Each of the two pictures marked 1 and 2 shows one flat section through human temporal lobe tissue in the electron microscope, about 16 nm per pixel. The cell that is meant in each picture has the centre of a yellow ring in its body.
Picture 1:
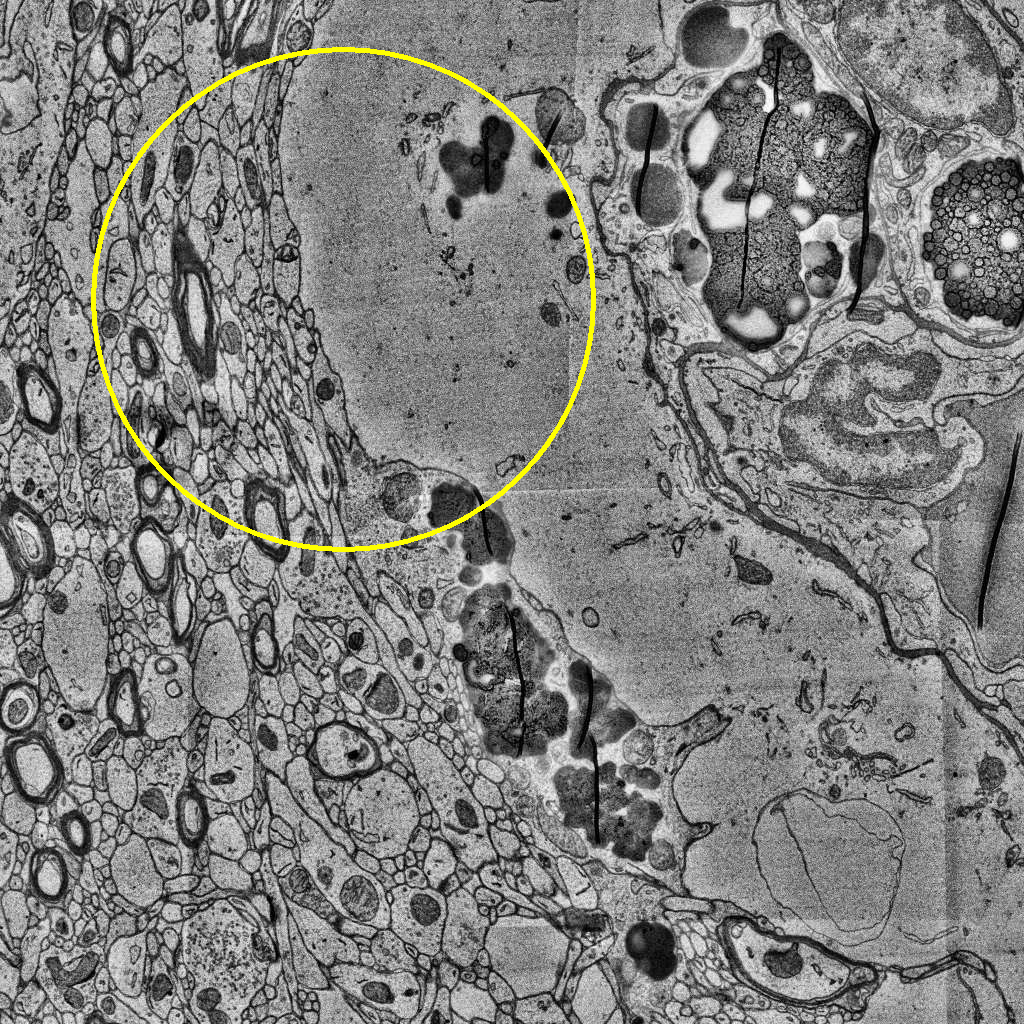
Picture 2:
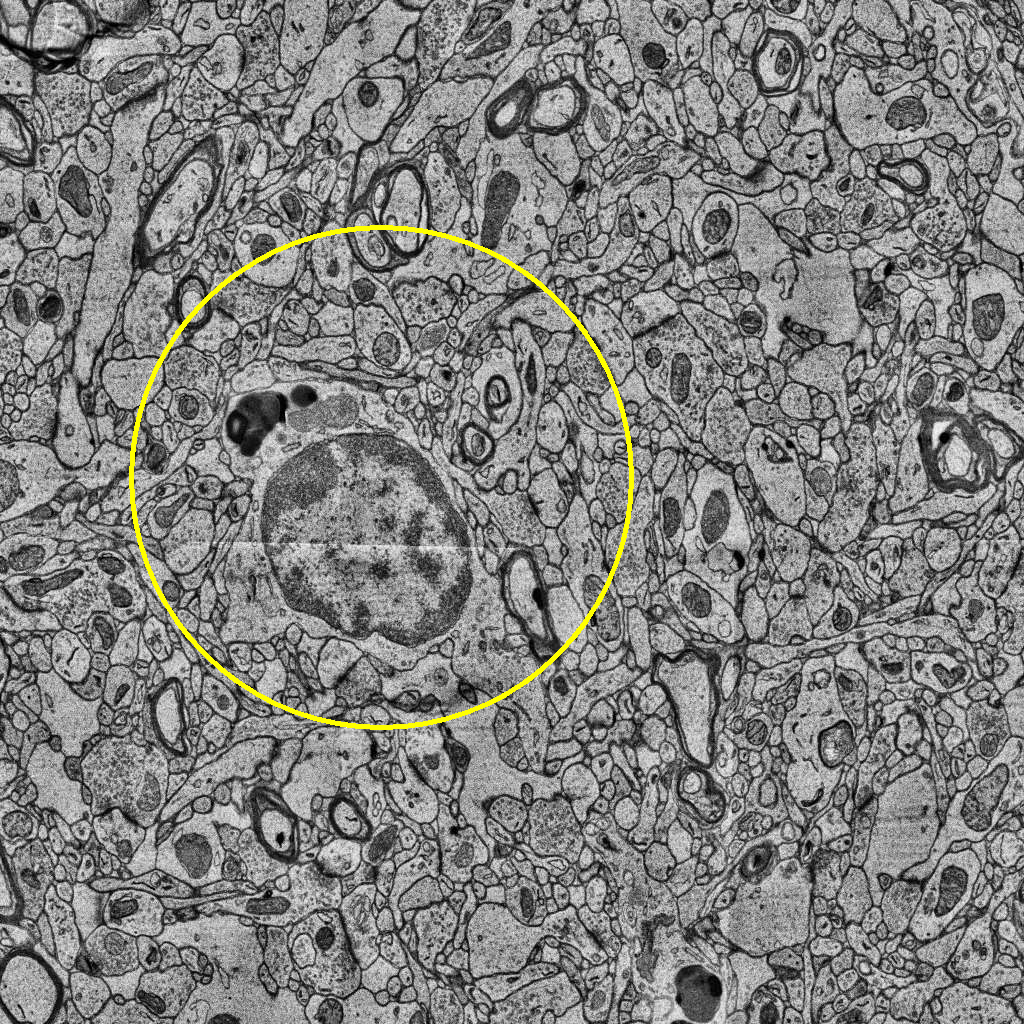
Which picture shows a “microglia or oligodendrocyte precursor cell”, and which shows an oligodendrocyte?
The cell in picture 1 is an oligodendrocyte, and the one in picture 2 is a “microglia or oligodendrocyte precursor cell”.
